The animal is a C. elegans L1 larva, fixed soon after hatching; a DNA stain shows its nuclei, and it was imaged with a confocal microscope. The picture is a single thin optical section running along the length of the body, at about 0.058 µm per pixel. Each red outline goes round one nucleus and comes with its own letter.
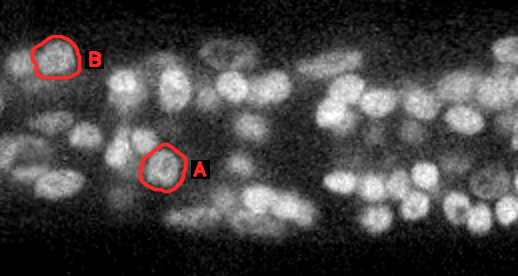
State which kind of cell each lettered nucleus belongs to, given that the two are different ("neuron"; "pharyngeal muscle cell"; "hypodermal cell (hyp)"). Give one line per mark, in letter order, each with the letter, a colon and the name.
A: pharyngeal muscle cell
B: hypodermal cell (hyp)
